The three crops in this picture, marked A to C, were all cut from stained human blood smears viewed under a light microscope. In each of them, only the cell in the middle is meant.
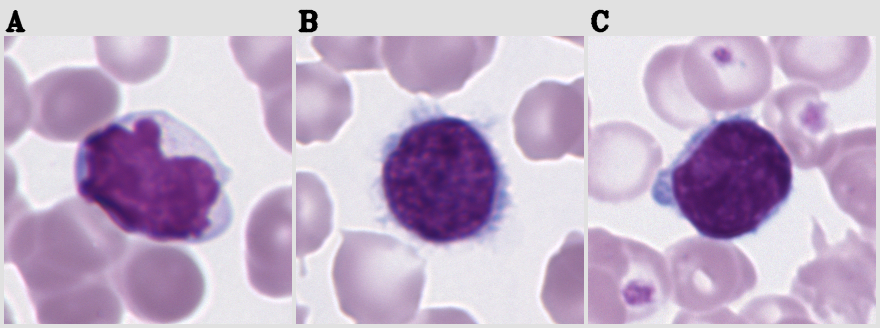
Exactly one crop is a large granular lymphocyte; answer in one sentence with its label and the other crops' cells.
Regarding crop A, it shows a large granular lymphocyte, while crop B is a hairy cell and crop C is a typical lymphocyte.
